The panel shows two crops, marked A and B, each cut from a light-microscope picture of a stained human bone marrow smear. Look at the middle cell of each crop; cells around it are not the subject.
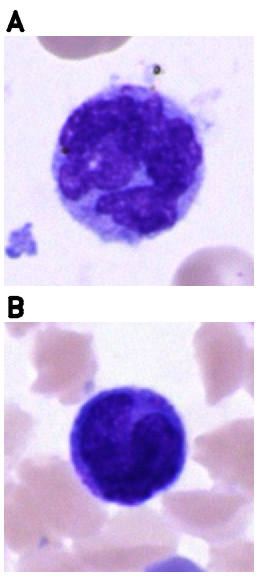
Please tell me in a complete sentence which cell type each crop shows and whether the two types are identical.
Yes, what both crops show at their centres are monocytes.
